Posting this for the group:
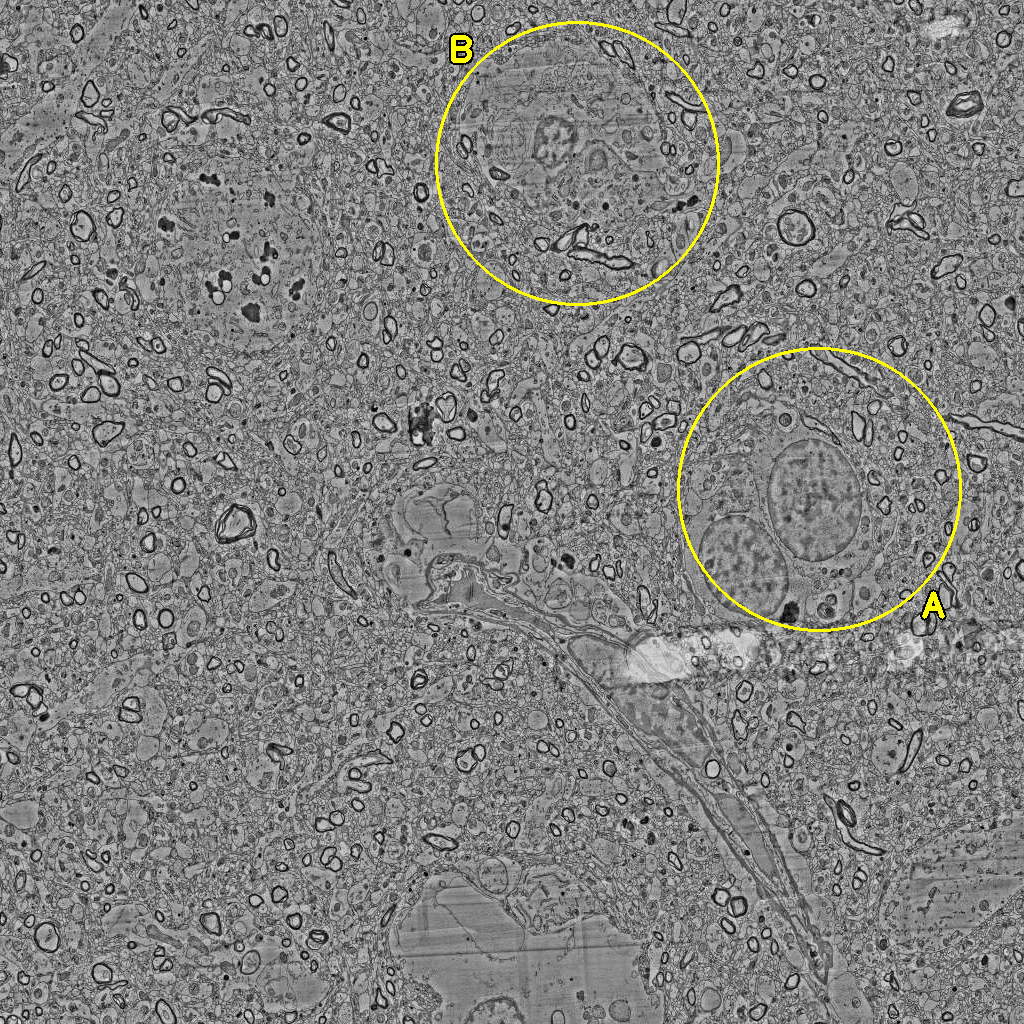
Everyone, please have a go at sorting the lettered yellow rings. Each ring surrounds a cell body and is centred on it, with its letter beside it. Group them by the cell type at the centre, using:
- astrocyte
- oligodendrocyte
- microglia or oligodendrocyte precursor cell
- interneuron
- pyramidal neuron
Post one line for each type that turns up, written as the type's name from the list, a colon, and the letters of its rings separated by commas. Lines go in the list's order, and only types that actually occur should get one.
oligodendrocyte: A, B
